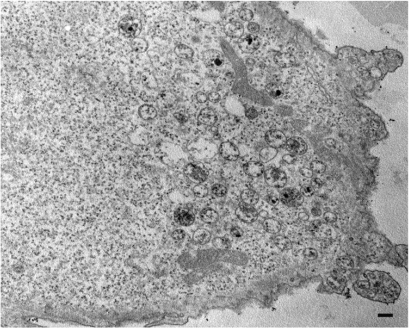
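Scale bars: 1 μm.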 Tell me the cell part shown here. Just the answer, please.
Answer: Autophagic vesicles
